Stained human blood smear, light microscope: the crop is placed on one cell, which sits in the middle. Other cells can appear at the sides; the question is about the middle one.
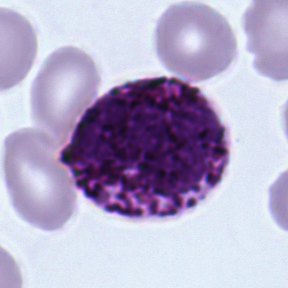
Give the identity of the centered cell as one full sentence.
What the crop centres on is a basophil.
